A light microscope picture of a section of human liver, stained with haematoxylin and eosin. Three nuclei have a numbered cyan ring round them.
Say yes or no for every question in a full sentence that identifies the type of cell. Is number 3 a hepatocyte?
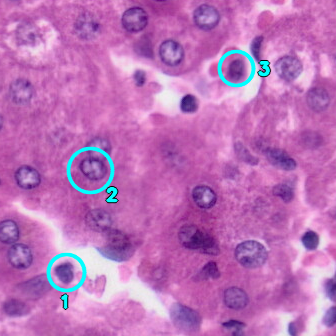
No, number 3 identifies a Kupffer cell, not a hepatocyte.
